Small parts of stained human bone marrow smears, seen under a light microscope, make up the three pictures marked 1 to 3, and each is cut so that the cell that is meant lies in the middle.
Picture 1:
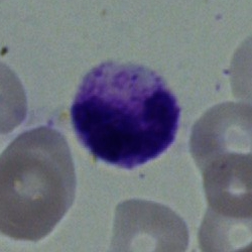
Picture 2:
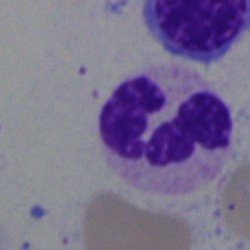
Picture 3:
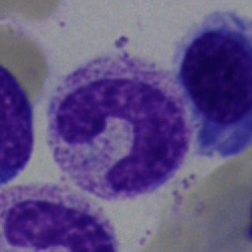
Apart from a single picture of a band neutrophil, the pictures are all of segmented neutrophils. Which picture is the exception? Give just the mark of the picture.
3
